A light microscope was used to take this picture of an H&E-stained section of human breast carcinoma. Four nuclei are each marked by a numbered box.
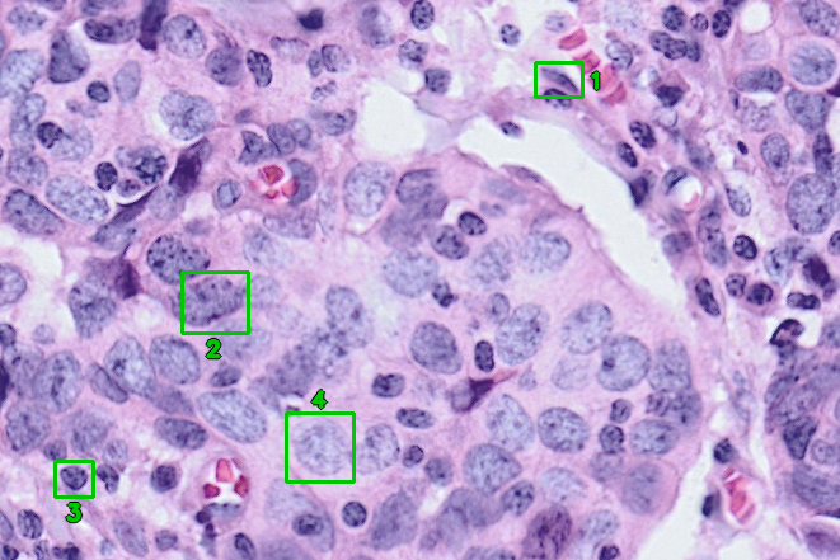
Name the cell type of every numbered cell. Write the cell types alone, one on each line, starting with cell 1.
endothelial cell
carcinoma cell
lymphocyte
carcinoma cell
